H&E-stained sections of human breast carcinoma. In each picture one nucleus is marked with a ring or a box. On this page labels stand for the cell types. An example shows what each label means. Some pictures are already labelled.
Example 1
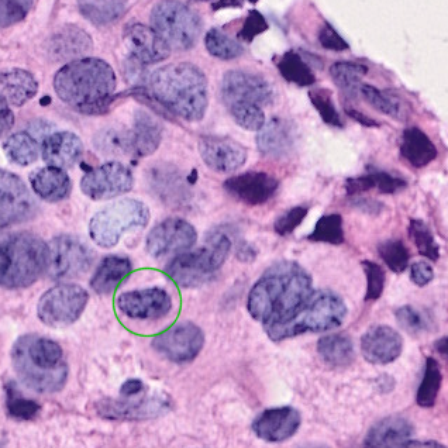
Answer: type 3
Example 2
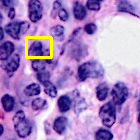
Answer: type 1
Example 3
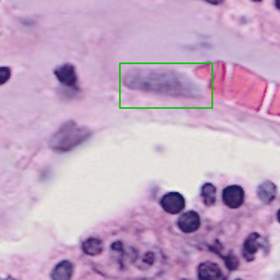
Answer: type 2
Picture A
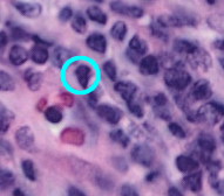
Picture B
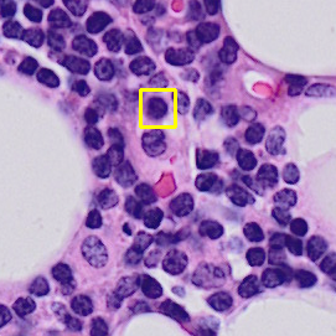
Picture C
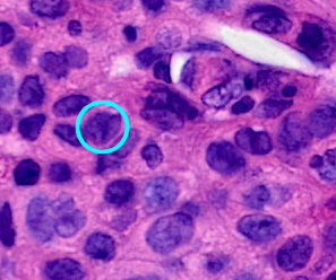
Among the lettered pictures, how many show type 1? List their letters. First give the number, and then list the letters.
Count: 2 (A, B)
